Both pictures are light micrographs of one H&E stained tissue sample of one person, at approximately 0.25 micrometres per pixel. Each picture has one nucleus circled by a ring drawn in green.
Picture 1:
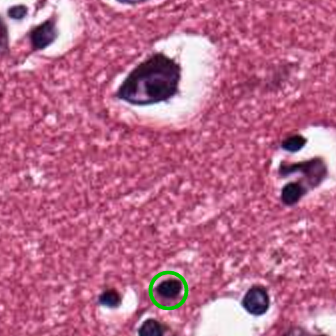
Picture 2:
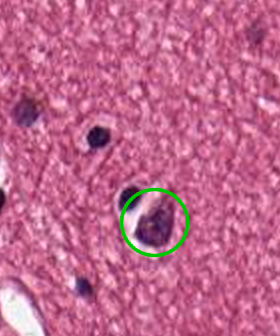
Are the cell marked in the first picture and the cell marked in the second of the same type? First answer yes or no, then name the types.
No, the first is an oligodendrocyte and the second a neuron.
